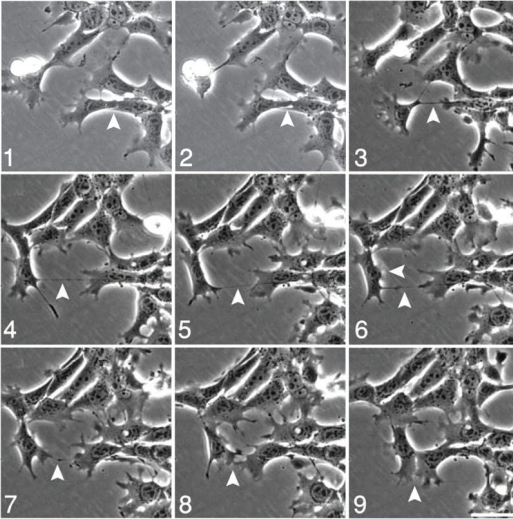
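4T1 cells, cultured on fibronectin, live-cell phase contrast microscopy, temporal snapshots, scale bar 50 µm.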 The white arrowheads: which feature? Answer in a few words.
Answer: tether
